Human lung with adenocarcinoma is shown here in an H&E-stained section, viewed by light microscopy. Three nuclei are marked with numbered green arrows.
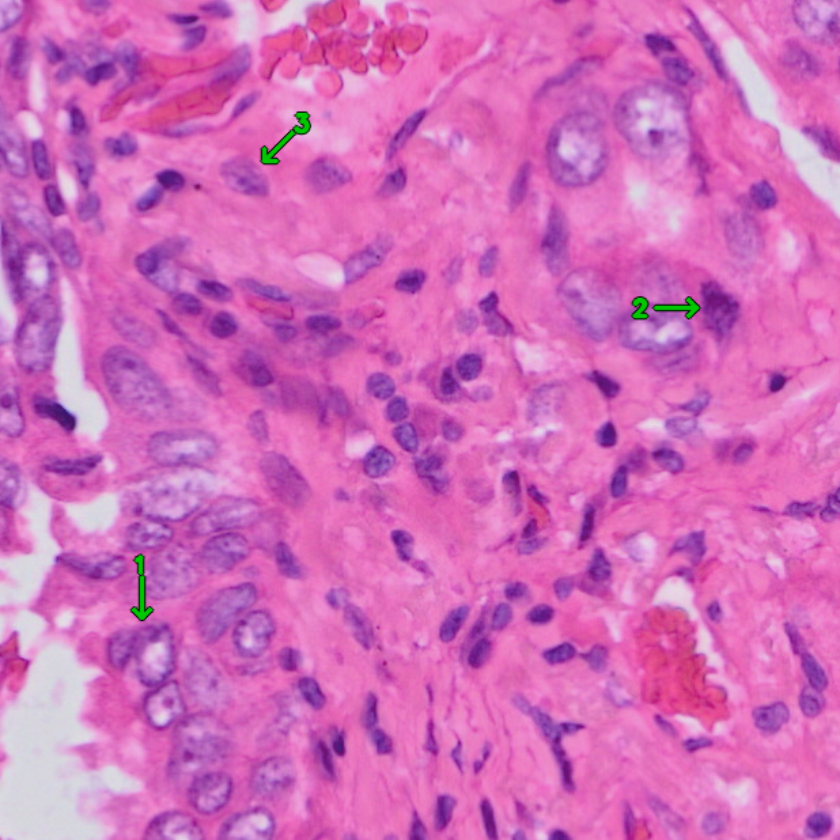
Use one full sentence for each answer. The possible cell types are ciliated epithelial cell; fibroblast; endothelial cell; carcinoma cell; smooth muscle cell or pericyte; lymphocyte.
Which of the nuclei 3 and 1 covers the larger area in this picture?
Nucleus 1 is the larger one, covering about 2.5 times the area of nucleus 3.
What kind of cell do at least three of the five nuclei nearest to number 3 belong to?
Endothelial cells account for more than half of the five nuclei nearest to number 3.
